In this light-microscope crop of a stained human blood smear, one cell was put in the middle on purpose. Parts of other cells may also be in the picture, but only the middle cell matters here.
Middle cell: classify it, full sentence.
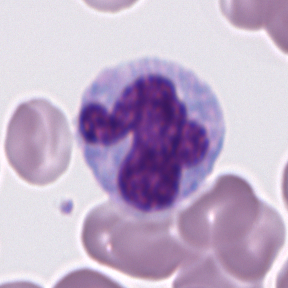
The cell in the middle of the field of view is a monocyte.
